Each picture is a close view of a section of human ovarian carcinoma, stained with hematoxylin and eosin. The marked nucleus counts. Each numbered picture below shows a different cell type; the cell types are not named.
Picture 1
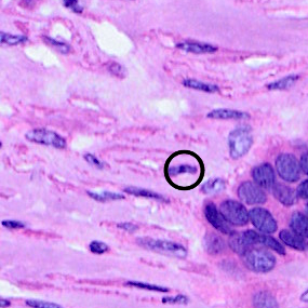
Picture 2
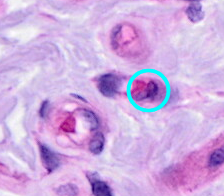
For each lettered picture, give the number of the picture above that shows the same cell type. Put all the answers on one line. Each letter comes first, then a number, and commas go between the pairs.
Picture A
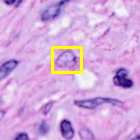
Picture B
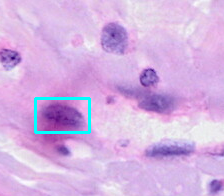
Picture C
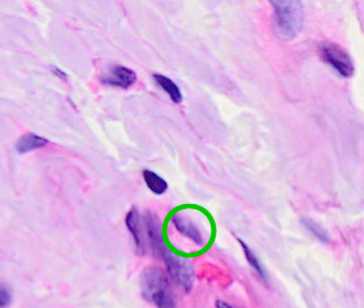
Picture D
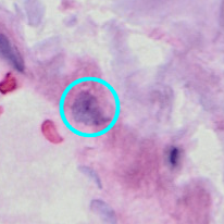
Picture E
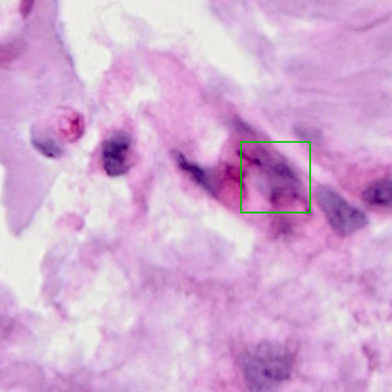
A 1, B 2, C 2, D 2, E 2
